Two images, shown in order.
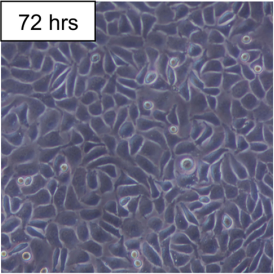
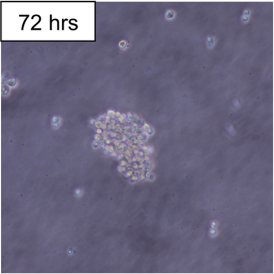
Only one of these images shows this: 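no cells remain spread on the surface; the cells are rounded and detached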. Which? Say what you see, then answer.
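The second image. Second image: only a clump of rounded cells, no spread cells on the surface. First image: a dense sheet of flat, spread cells with only a few rounded ones.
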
